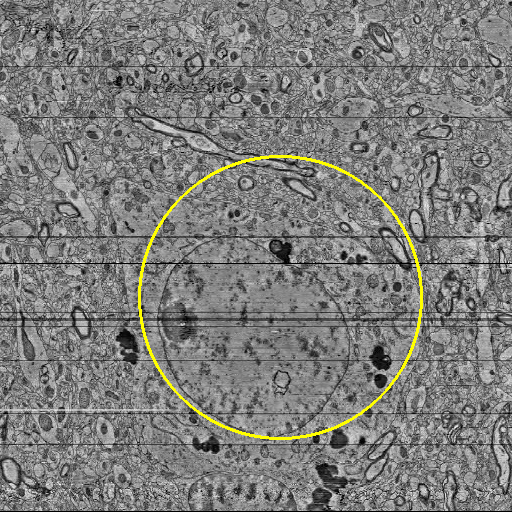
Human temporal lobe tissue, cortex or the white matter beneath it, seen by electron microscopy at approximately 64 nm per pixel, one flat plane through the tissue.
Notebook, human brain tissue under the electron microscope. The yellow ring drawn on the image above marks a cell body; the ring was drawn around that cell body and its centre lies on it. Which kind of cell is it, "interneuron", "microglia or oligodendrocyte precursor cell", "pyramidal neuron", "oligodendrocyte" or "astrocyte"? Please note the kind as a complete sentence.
The marked cell body is that of a pyramidal neuron.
